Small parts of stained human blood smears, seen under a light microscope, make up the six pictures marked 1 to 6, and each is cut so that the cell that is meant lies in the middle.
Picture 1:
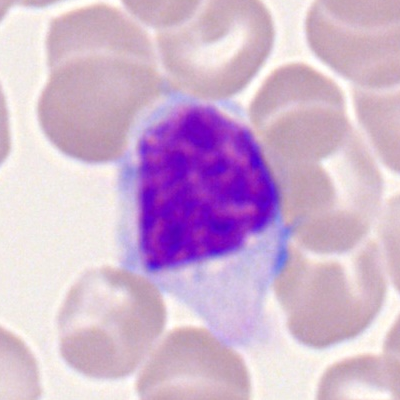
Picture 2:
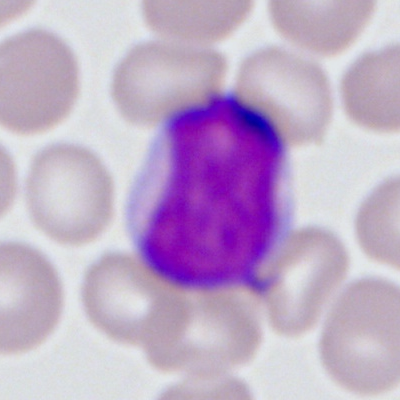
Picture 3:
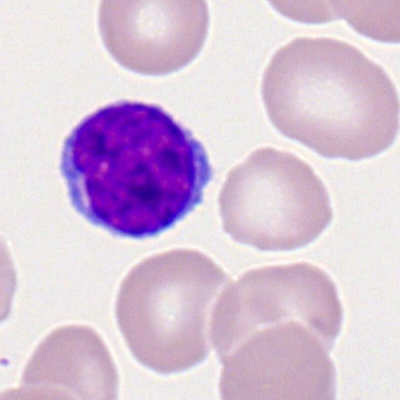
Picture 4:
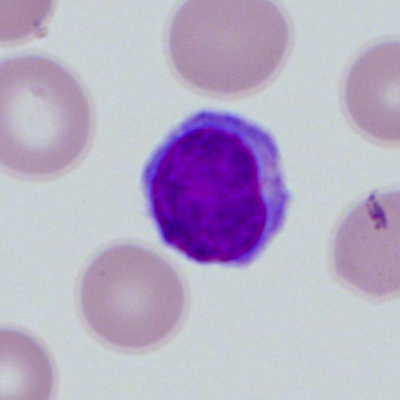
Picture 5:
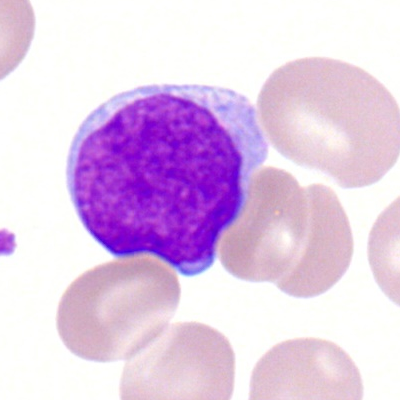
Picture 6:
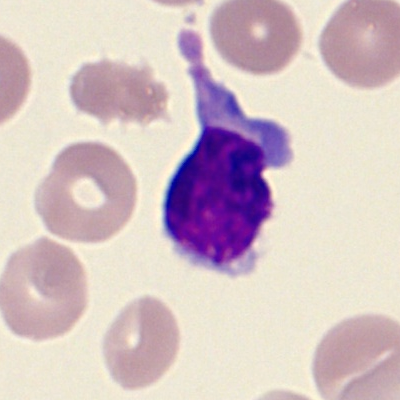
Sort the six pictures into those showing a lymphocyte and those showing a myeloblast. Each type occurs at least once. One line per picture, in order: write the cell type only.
lymphocyte
myeloblast
lymphocyte
lymphocyte
myeloblast
lymphocyte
